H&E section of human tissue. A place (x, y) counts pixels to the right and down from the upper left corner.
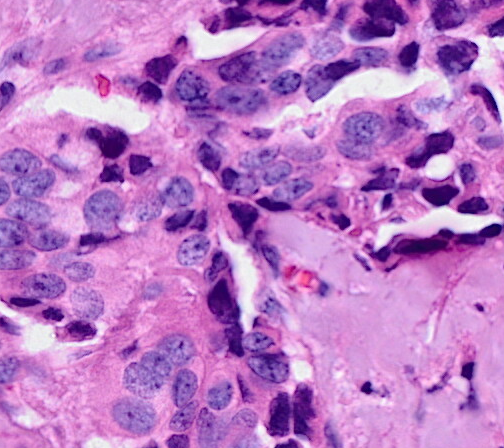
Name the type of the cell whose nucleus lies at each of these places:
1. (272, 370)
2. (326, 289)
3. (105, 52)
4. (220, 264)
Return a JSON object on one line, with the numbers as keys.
{"1": "carcinoma cell", "2": "endothelial cell", "3": "endothelial cell", "4": "carcinoma cell"}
